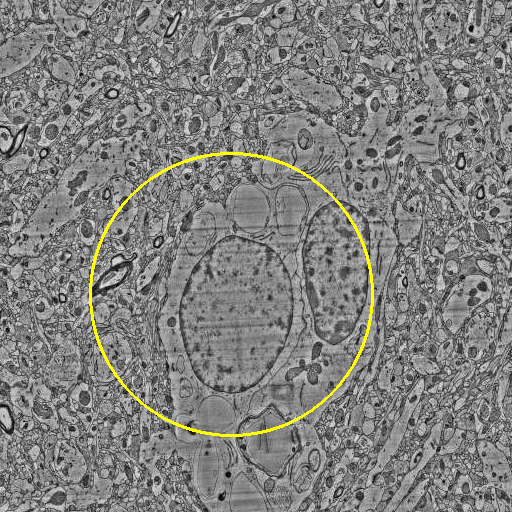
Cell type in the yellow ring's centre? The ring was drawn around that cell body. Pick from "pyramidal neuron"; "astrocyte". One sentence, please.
The ringed cell body is that of an astrocyte.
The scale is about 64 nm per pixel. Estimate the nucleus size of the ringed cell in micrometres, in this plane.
In this plane the nucleus measures roughly 10 by 7 micrometres.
